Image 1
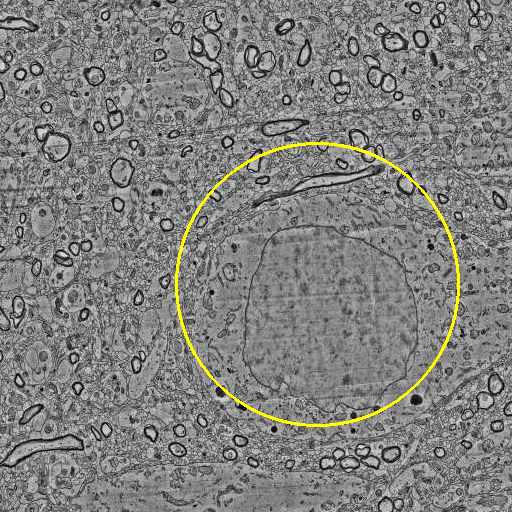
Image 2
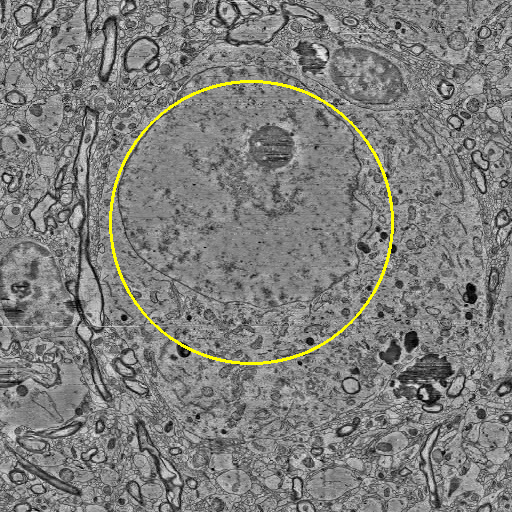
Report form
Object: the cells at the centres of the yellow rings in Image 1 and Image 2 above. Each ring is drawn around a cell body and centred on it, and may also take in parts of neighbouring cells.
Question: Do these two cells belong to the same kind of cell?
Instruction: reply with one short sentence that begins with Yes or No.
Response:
Yes, both belong to the same kind of cell.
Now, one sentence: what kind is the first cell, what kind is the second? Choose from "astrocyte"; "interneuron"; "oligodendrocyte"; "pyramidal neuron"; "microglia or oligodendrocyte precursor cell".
The second cell is a pyramidal neuron, just as the first is.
